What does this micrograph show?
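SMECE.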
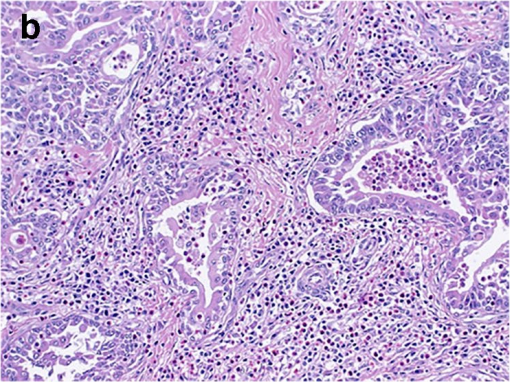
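Irregular epithelial nests and branching gland-like spaces lie in a stroma dense with inflammatory cells. The epithelial cells lining the spaces have pink cytoplasm and oval nuclei, and some lumens contain loose cells and debris. Between the nests, pink fibrous strands run among many small round and red-granular inflammatory cells. The picture is of infiltrating nests and irregular branching gland-like structures within a mixed eosinophil-rich infiltrate with fibrosis.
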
